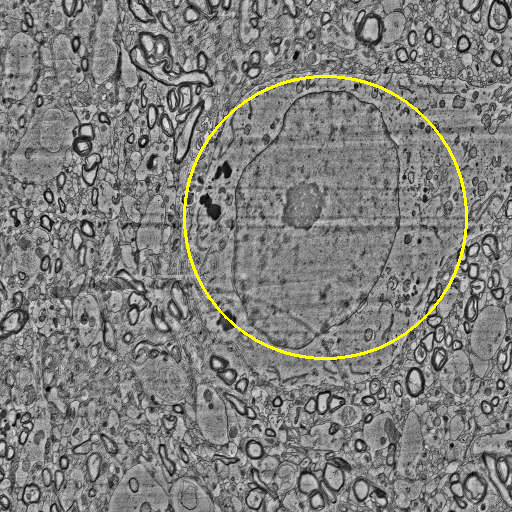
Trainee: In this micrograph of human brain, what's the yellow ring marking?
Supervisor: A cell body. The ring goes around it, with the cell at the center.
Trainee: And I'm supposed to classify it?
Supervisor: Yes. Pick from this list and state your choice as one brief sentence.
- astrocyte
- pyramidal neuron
The cell at the ring's center is a pyramidal neuron.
